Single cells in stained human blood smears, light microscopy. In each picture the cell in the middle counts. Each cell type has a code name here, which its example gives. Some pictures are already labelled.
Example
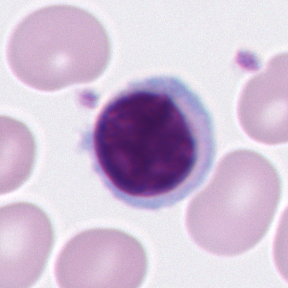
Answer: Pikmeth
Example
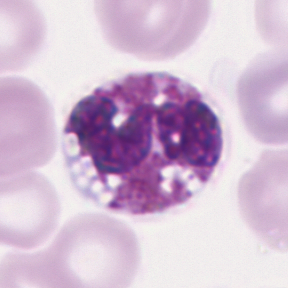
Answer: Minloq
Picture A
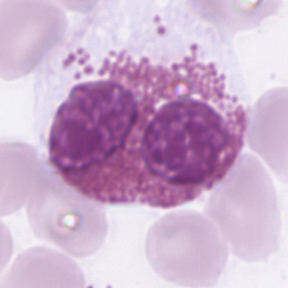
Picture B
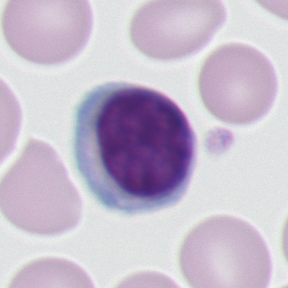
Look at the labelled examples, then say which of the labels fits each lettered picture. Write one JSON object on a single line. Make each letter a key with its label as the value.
{"A": "Minloq", "B": "Pikmeth"}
